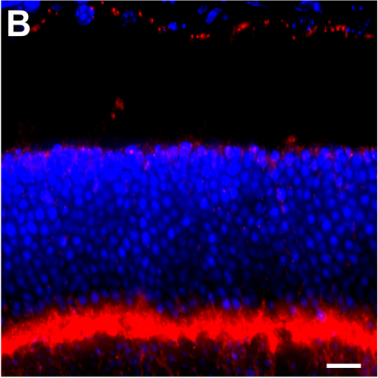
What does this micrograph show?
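This is a section through the outer retina, with a thick band of small, tightly packed round photoreceptor nuclei stained blue forming the outer nuclear layer. Above it lies a dark, nucleus-free zone of outer segments, topped by a thin row of scattered red and blue signal at the pigment epithelium. Directly below the nuclear layer runs a broad, bright red band marking the outer plexiform layer, where the photoreceptors make their synapses.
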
